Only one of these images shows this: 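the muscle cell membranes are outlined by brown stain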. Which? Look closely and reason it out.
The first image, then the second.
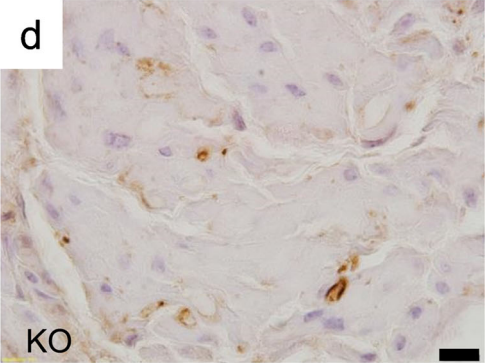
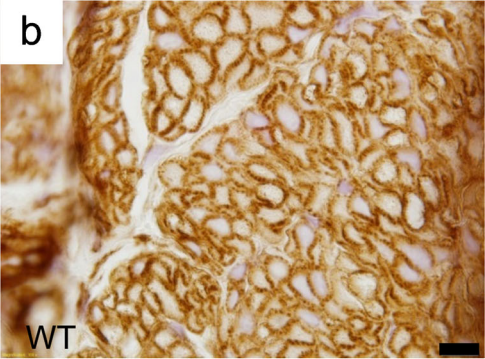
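The second image. First image: muscle cells are pale with blue nuclei and only a few scattered brown spots. Second image: every cell profile is ringed by a dark brown outline.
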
